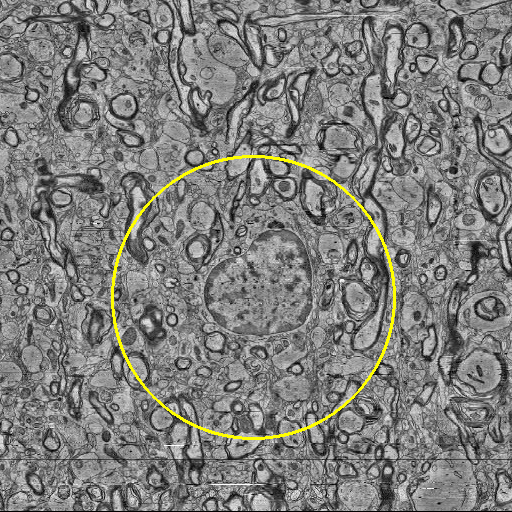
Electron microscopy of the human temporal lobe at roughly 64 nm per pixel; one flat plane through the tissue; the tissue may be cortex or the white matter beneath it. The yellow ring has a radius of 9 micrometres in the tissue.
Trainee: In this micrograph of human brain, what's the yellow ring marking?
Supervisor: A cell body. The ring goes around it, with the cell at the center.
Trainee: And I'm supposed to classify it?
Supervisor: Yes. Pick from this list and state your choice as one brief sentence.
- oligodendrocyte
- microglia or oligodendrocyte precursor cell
The cell at the ring's center is a microglial cell or oligodendrocyte precursor cell.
